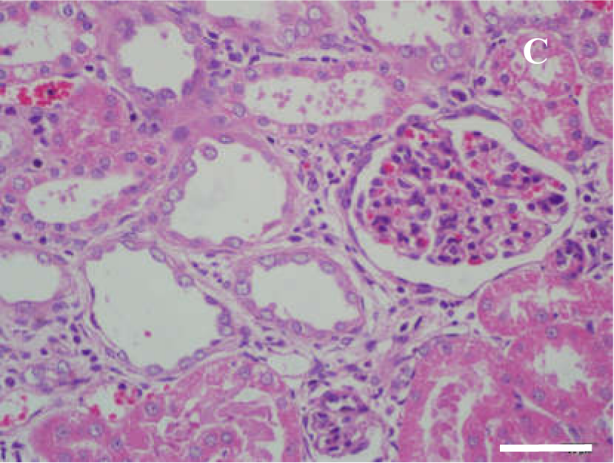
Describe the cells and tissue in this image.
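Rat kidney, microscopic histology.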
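Renal cortex with a glomerulus and surrounding tubules, paler than usual. The glomerular tuft is packed with nuclei and red blood cells and is set apart from its capsule by a wide clear capsular space. Many neighbouring tubules have broad, empty lumens lined by a low layer of epithelial cells with round nuclei and pale pink cytoplasm. Some lumens hold a few red blood cells. Between the tubules the interstitium is widened, with loose pale tissue and scattered small dark nuclei of infiltrating cells.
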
